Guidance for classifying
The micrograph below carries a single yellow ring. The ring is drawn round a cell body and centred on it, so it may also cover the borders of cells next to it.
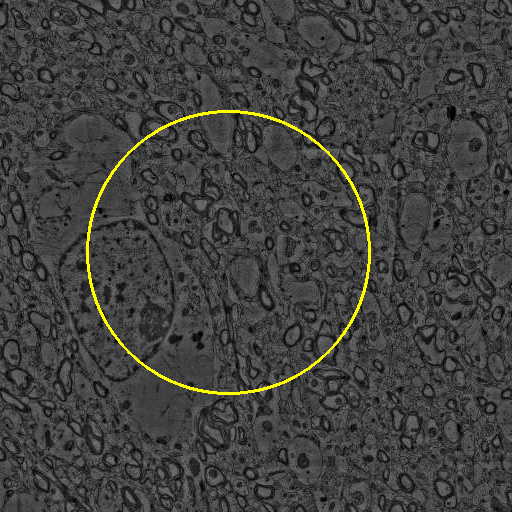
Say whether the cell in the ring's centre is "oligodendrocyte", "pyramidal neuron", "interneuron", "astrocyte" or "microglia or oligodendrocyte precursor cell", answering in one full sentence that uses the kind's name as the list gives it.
Within the yellow ring, an astrocyte is the cell whose body sits at the centre.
